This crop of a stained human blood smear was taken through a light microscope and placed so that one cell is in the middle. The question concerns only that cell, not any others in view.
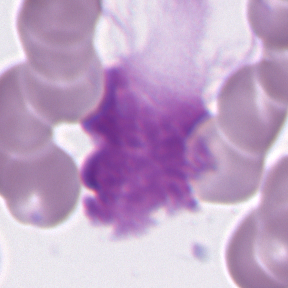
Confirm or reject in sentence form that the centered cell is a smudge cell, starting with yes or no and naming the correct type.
Yes, the crop's central cell is a smudge cell.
